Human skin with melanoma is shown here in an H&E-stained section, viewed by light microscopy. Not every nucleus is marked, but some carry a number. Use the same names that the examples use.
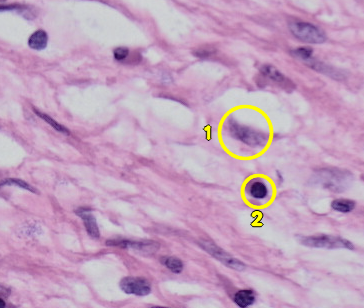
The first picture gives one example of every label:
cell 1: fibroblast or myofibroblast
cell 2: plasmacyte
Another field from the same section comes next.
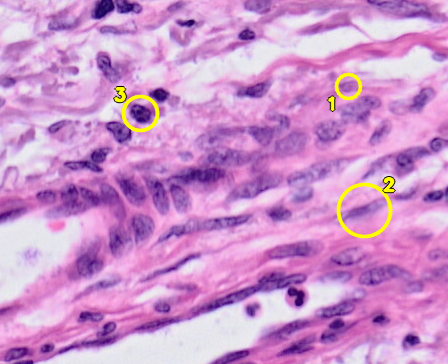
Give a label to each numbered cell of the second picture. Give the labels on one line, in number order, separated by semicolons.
fibroblast or myofibroblast; fibroblast or myofibroblast; plasmacyte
